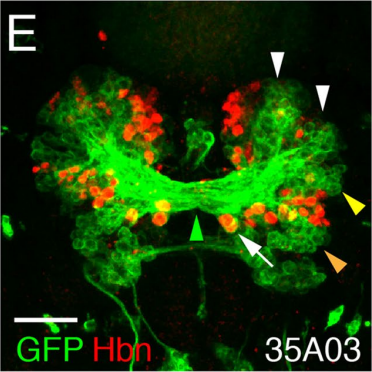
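Embryonic brain hemispheres with clusters of neuroblast lineage cells on both sides, many with red nuclei, outlined by green membranes. A thick green fibre bundle, the supraesophageal commissure, crosses the midline between the hemispheres, and red-nucleated cells sit directly beside it. Green-outlined cells lie in lateral and anterior clusters around the hemispheres.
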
